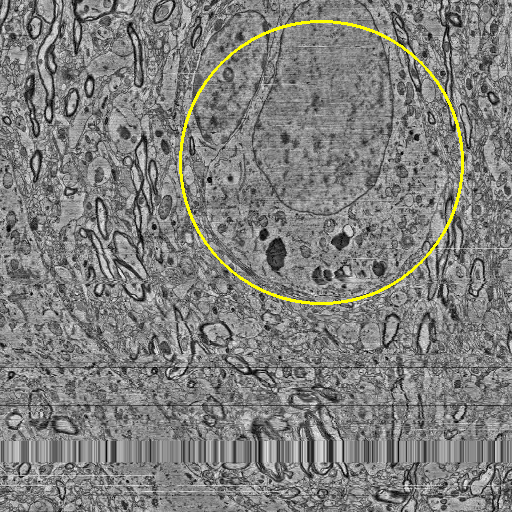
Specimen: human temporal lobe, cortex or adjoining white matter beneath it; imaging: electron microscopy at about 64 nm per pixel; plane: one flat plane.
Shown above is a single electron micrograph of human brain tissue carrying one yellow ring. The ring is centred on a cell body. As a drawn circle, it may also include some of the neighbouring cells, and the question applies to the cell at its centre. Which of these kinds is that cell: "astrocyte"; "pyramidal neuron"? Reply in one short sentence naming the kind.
The cell marked by the ring is a pyramidal neuron.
